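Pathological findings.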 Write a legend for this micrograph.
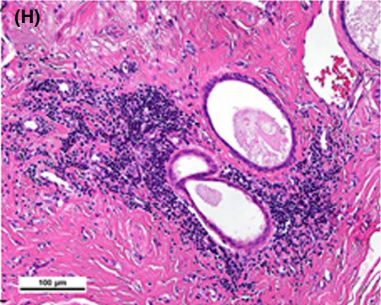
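This is a dense lymphocytic infiltration within pink fibrous stroma. The lymphocytes are small cells with round, dark blue nuclei and scant cytoplasm, packed closely into an irregular cluster. The cluster wraps around a few small gland-like spaces lined by a single layer of epithelial cells, some holding pale pink material in their lumen. The surrounding stroma is made of wavy pink collagen fibres with scattered spindle-shaped nuclei, and a small vessel with red blood cells lies at the upper right.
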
